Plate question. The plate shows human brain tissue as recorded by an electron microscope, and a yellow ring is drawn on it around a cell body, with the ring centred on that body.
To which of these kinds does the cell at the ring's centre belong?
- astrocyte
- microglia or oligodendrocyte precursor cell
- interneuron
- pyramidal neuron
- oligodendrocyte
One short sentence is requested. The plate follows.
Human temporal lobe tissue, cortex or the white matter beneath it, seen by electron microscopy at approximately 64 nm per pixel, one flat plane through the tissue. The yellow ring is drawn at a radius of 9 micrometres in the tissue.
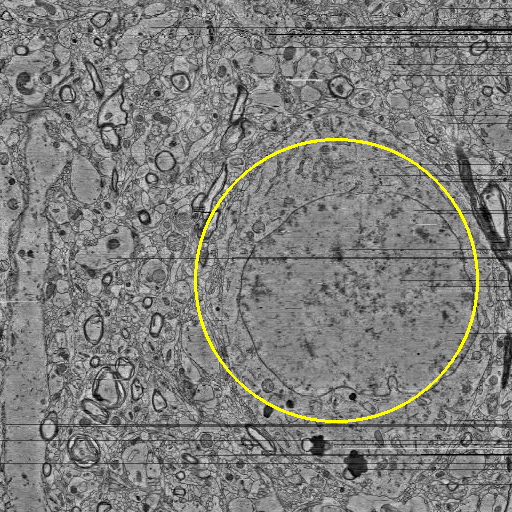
The cell at the ring's centre is a pyramidal neuron.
